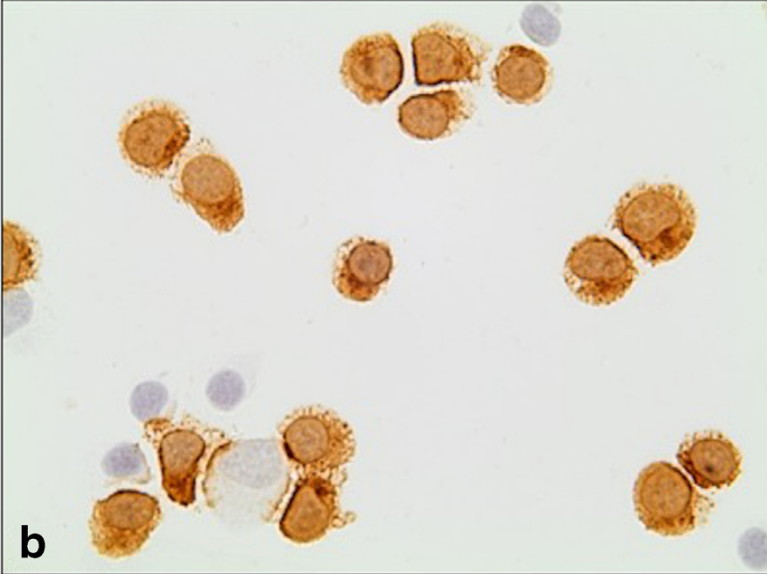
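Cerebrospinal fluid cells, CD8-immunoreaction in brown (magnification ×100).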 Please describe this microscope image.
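The brown stain is granular and lies in the cytoplasm and at the cell border, ringing a pale, round to oval nucleus. A smaller number of cells lack the brown stain and appear only pale blue-grey, among them a larger cell with a broad, pale cytoplasm. The cells lie singly or in small groups.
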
